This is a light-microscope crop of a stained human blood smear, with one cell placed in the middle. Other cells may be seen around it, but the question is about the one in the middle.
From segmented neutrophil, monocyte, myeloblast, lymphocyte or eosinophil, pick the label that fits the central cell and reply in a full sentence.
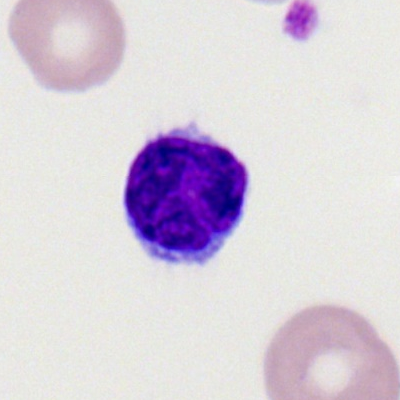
The cell found in the middle of this crop is a lymphocyte.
